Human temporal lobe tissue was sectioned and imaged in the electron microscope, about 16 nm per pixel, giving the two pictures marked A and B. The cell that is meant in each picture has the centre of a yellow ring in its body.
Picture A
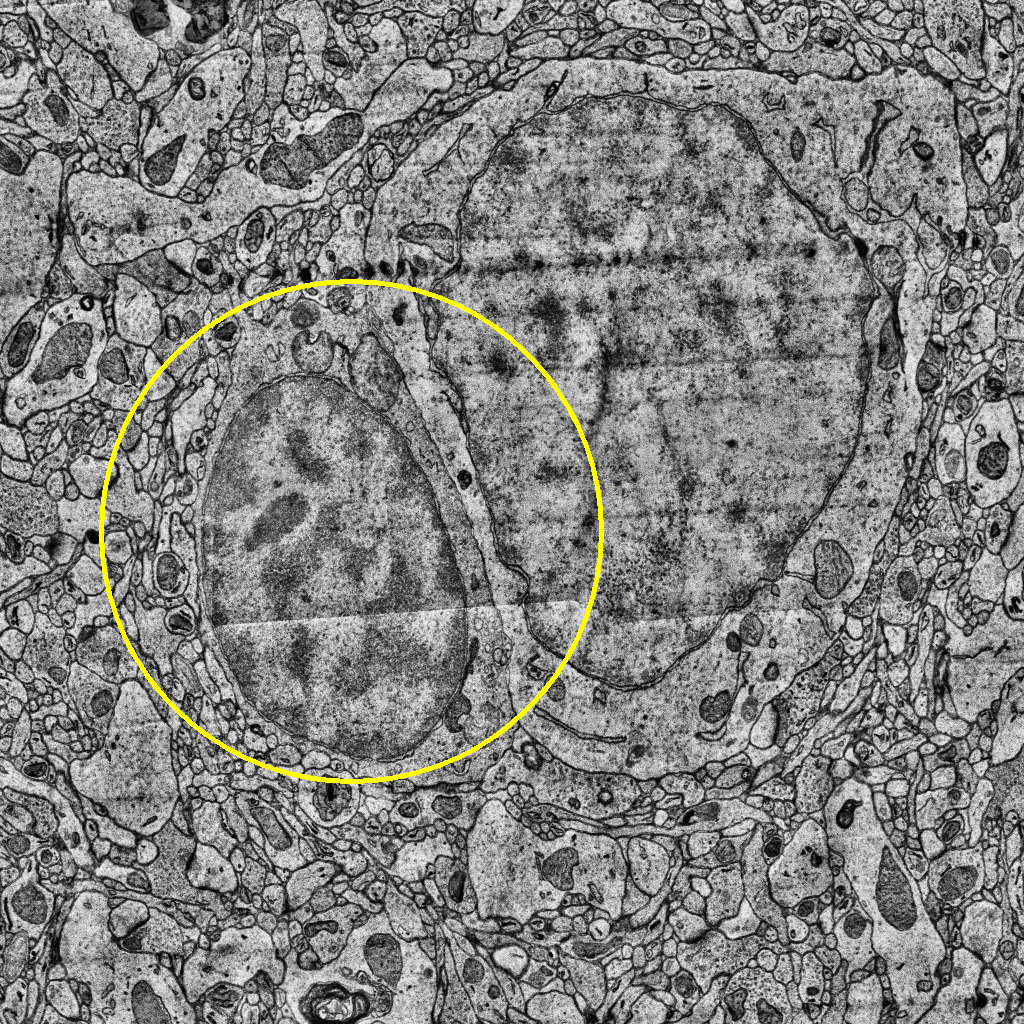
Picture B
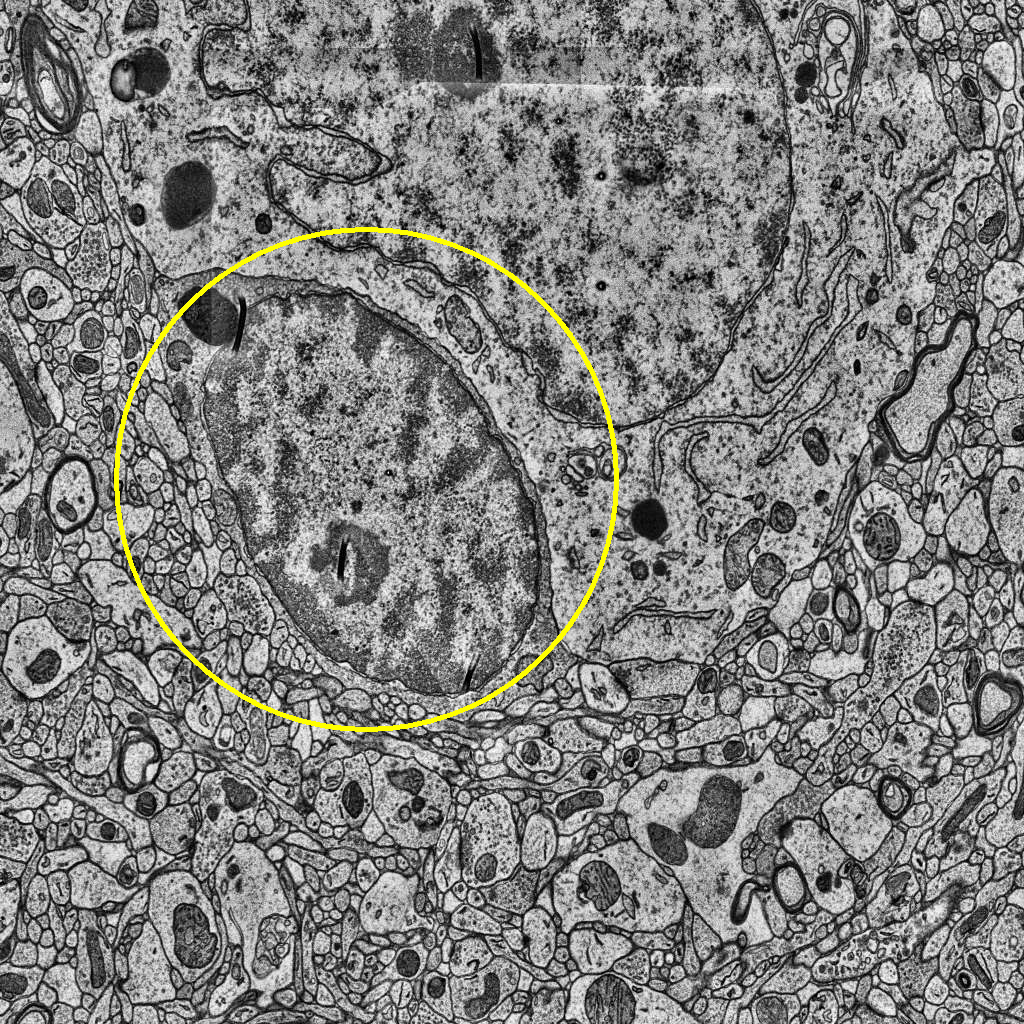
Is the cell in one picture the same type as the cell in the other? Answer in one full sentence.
Yes, both are oligodendrocytes.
